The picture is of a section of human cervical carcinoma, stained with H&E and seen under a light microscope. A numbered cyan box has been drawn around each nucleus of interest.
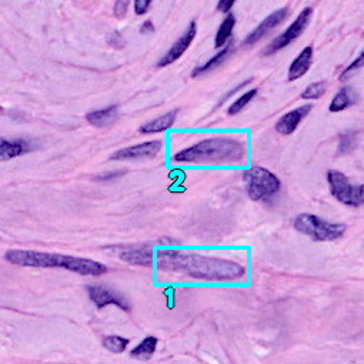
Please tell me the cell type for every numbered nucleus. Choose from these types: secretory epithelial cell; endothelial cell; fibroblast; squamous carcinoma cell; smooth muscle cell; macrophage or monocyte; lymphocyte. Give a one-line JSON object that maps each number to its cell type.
{"1": "smooth muscle cell", "2": "fibroblast"}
